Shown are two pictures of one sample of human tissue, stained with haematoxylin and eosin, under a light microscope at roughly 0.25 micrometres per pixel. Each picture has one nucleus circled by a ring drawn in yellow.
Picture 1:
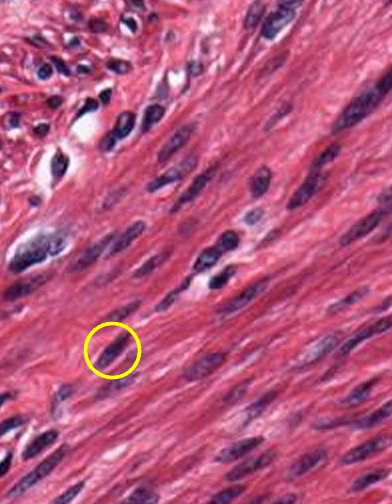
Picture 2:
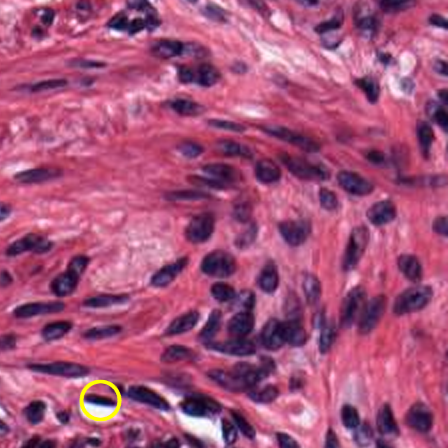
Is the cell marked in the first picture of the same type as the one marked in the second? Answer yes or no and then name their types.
No, the first is a smooth muscle cell and the second an endothelial cell.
